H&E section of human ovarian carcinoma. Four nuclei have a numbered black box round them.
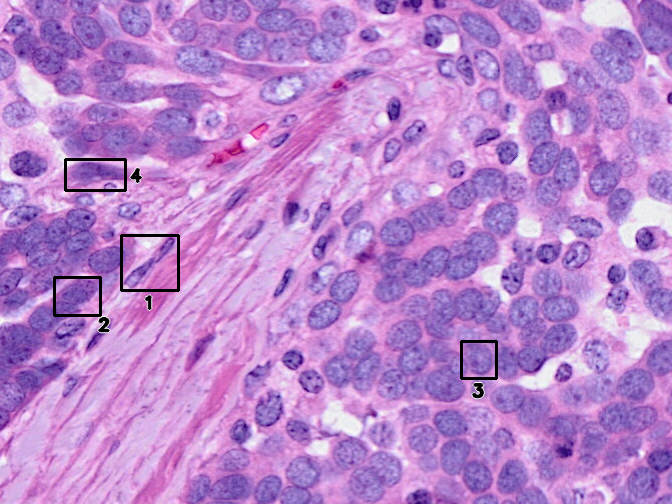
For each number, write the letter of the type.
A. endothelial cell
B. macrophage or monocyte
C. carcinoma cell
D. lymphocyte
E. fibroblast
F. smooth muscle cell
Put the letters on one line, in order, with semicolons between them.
E; C; C; C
